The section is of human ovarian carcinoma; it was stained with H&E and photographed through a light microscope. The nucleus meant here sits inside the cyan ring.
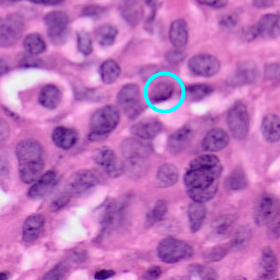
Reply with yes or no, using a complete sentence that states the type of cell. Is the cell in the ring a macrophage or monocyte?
No, the cell in the ring isn't a macrophage or monocyte; it is a carcinoma cell.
